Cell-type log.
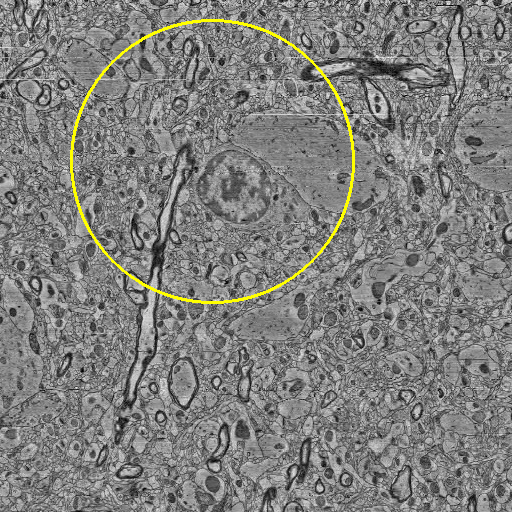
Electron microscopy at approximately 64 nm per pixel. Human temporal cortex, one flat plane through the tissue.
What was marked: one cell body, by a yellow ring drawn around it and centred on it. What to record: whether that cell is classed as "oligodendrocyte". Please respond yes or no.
Yes, the cell is classed that way.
